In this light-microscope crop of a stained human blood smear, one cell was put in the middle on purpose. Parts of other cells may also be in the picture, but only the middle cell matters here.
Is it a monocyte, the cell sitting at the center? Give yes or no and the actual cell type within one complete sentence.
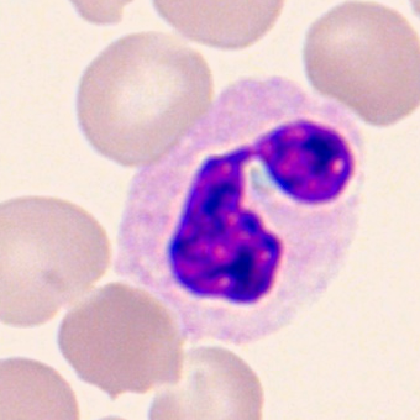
No, what sits in the centre of the crop is a neutrophil rather than a monocyte.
